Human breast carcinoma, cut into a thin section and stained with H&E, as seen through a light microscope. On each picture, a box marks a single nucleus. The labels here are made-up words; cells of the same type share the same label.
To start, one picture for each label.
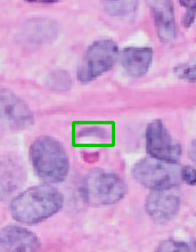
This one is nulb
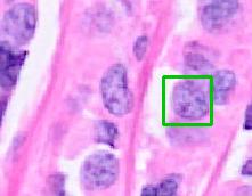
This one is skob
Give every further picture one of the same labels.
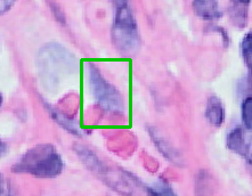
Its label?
nulb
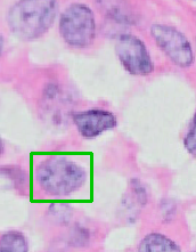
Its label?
skob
